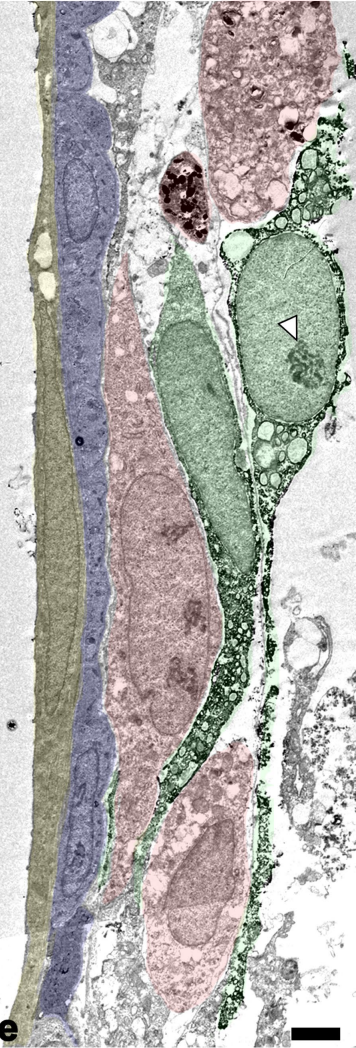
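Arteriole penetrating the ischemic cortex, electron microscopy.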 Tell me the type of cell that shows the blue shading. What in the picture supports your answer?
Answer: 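The blue-shaded layer lies directly outside the thin lumen lining. Its cells are elongated with elongated nuclei, forming the vessel wall. On this evidence: smooth muscle cells.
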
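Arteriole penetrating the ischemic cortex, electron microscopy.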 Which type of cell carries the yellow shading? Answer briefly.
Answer: endothelial cells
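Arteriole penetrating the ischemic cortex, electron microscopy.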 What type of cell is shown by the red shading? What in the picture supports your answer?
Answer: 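Macrophages. Red-shaded cells are large and rounded to elongate with oval nuclei. Their cytoplasm holds vacuoles and dense inclusions. They lie outside the vessel wall layers.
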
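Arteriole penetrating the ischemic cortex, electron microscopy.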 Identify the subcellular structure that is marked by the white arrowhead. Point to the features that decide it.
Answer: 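The arrowhead points to a dense, dark, granular clump inside a large oval nucleus. The surrounding nucleus is pale and evenly textured.
Conclusion: prominent nucleoli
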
